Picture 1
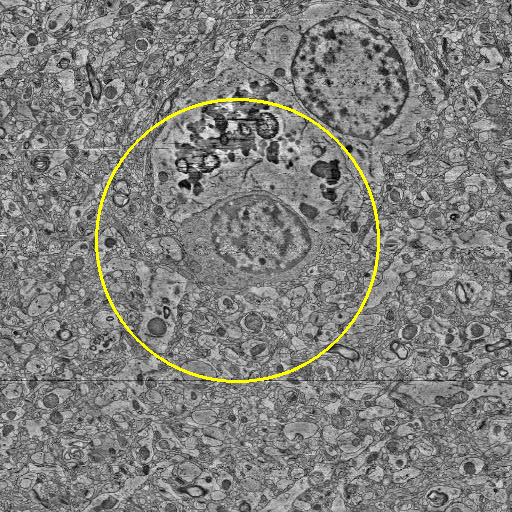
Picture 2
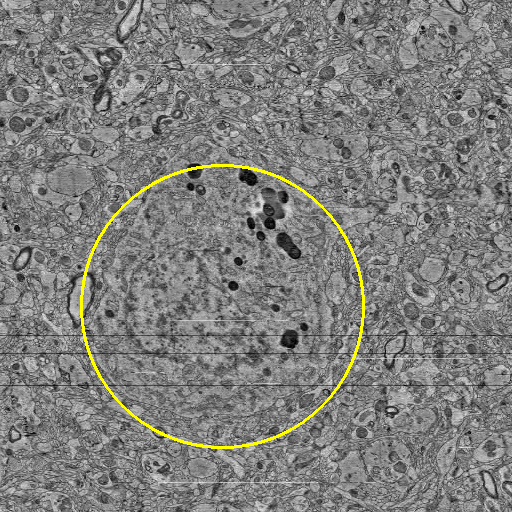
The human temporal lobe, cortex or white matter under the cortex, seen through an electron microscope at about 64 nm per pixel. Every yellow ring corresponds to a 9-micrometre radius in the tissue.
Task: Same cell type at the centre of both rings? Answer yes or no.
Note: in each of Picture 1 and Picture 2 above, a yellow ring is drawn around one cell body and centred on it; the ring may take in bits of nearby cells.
no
